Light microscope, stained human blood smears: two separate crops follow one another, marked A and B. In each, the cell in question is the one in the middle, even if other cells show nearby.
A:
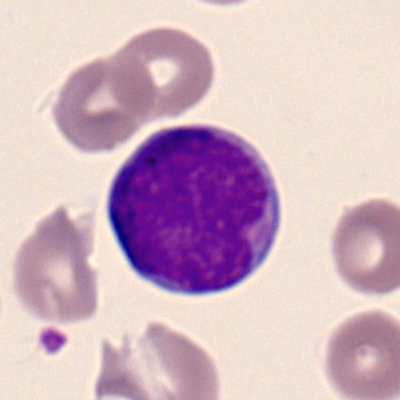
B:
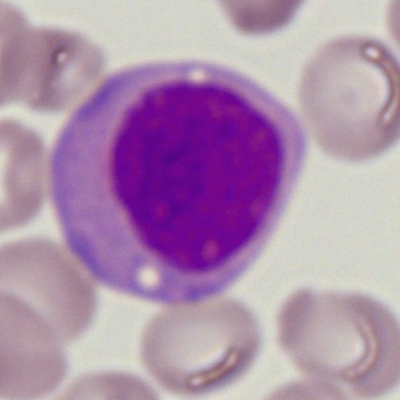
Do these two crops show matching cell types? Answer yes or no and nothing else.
yes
